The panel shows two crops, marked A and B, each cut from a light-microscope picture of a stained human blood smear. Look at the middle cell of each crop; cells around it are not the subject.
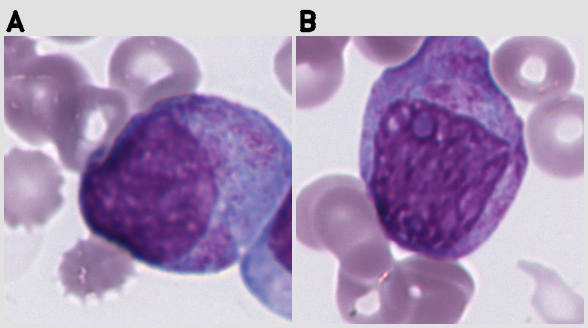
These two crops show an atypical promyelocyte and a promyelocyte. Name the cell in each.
A: promyelocyte
B: atypical promyelocyte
